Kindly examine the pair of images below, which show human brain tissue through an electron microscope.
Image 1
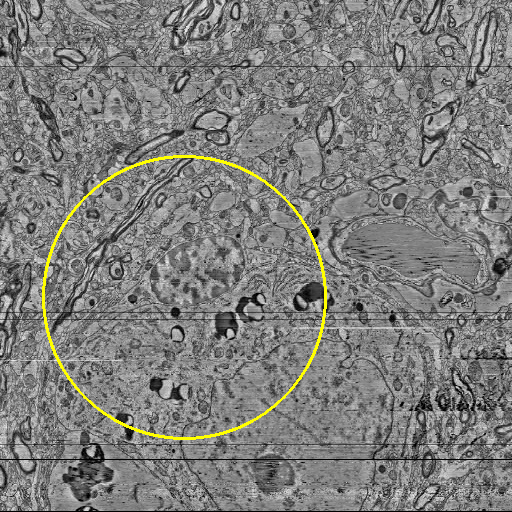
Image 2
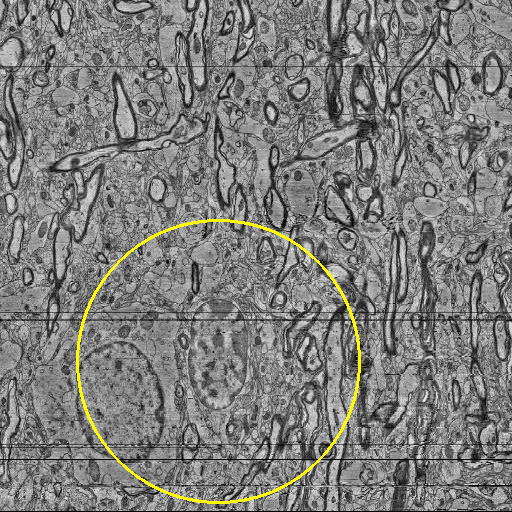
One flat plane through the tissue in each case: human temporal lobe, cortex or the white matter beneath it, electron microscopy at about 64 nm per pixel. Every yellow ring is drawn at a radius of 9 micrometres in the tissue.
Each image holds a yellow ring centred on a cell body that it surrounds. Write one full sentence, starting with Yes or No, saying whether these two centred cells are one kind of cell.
Yes, both cells at the centres of the yellow rings belong to one kind of cell.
